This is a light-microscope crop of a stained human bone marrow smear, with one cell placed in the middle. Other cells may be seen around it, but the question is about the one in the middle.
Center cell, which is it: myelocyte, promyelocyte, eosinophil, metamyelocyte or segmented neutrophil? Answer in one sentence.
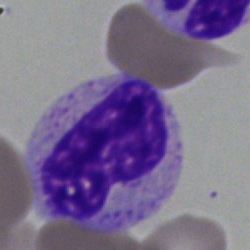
Located at the centre of the crop is a metamyelocyte.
